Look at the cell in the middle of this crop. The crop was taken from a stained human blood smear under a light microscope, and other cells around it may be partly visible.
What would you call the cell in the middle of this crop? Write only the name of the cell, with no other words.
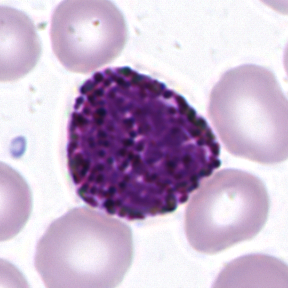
basophil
